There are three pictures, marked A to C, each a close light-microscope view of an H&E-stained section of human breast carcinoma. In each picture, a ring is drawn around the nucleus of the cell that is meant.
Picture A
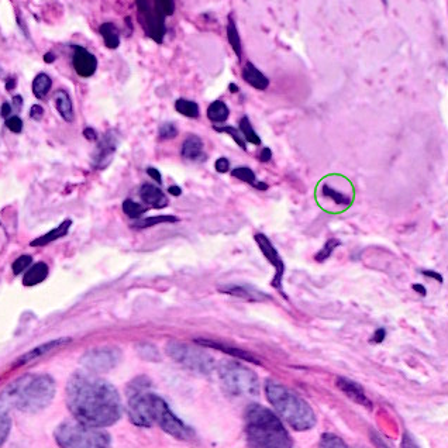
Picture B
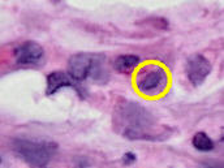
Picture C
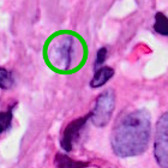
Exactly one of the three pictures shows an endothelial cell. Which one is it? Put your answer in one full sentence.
The picture with the endothelial cell is B.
